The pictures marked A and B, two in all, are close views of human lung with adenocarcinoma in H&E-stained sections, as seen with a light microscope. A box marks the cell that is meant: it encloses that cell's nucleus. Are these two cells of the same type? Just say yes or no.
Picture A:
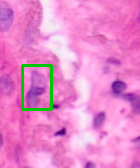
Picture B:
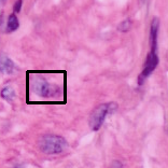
yes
